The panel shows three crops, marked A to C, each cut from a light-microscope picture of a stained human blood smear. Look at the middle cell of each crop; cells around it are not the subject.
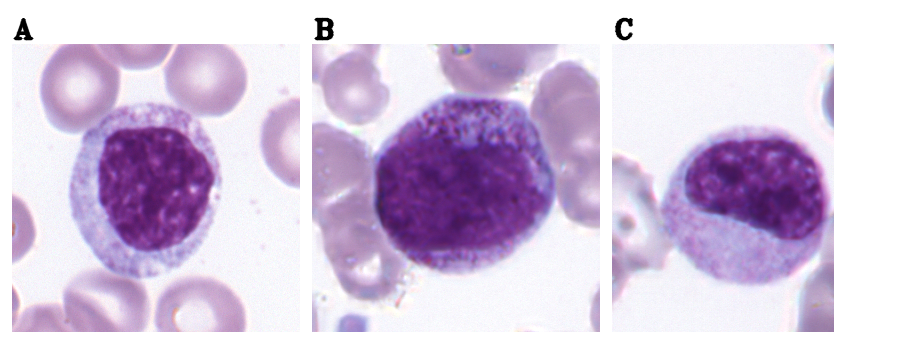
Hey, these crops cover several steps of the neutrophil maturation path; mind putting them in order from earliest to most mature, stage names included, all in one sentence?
The ordering by maturity, from earliest to most mature, is crop B (a promyelocyte), crop A (a myelocyte) and crop C (a metamyelocyte).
